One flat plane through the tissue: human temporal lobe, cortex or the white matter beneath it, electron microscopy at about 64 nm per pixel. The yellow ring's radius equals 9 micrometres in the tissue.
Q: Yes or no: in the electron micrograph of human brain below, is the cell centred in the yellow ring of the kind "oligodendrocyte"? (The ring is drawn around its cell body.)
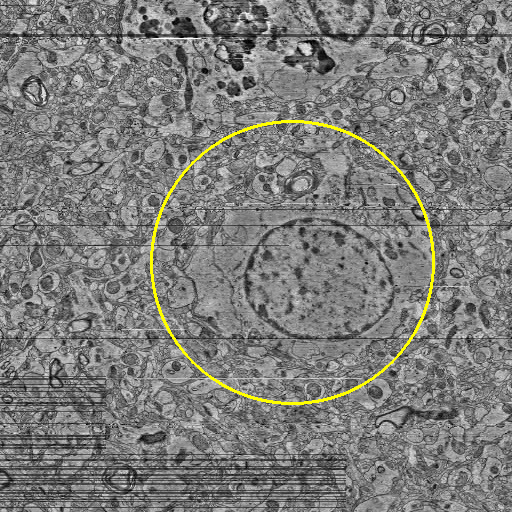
no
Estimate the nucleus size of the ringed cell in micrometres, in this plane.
In this plane, the nucleus of the cell at the centre of the ring measures about 10 by 8 micrometres.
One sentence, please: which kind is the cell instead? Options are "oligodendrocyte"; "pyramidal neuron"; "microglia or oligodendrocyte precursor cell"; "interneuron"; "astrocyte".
The cell at the ring centre is an astrocyte.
